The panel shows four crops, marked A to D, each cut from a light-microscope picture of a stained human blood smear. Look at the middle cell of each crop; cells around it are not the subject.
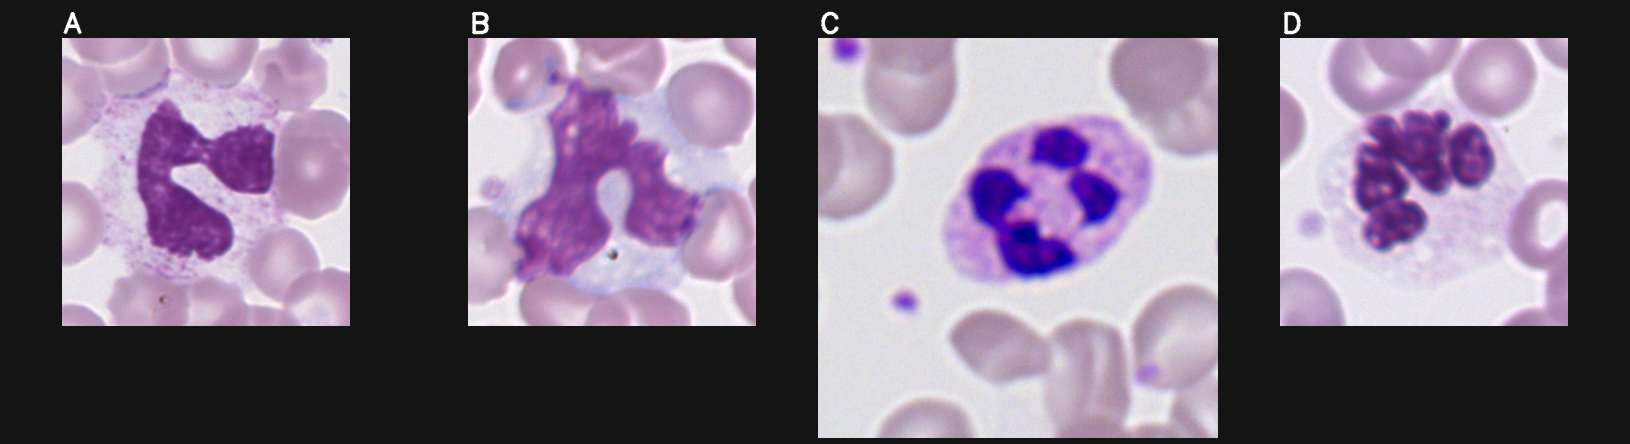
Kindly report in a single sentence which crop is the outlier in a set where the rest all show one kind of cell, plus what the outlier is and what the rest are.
The different crop is B; it is a monocyte, and the others all show segmented neutrophils.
